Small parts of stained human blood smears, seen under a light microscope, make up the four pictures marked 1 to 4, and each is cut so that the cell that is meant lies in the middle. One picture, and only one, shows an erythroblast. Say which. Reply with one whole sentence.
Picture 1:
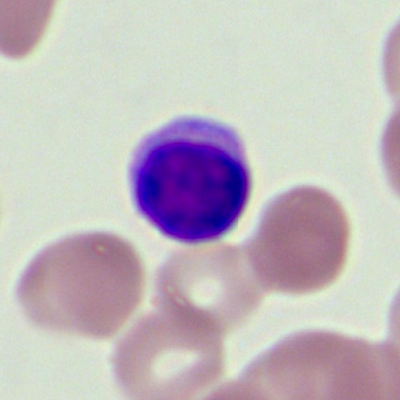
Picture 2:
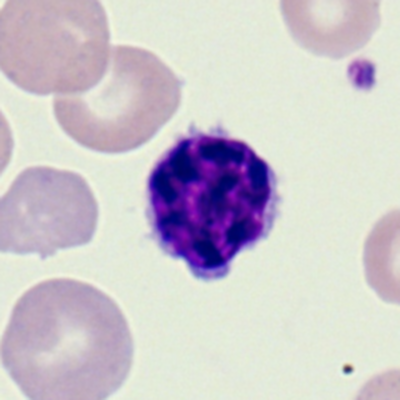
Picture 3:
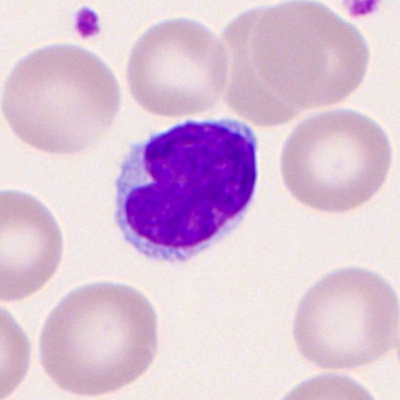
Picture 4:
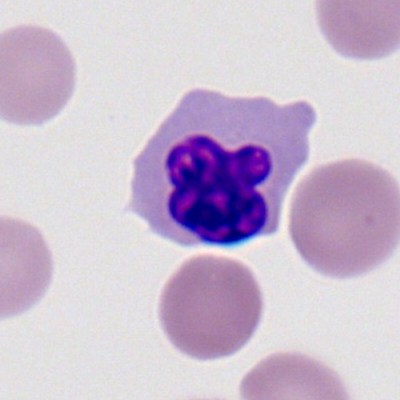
Picture 4 is the one that shows the erythroblast.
